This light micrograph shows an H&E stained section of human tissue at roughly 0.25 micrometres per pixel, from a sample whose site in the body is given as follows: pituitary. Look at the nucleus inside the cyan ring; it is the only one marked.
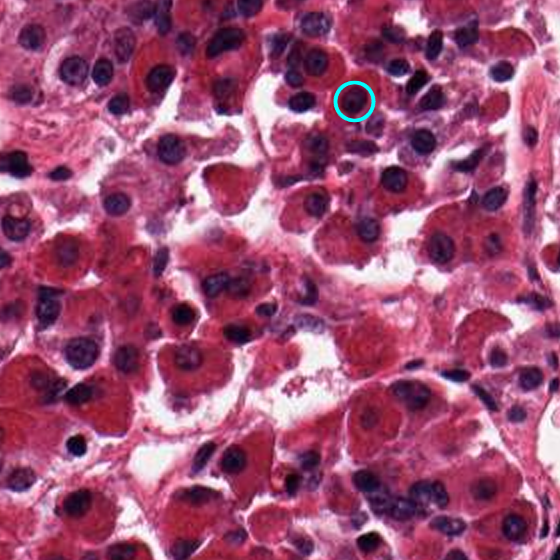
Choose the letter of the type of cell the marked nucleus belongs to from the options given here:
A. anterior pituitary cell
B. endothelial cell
A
